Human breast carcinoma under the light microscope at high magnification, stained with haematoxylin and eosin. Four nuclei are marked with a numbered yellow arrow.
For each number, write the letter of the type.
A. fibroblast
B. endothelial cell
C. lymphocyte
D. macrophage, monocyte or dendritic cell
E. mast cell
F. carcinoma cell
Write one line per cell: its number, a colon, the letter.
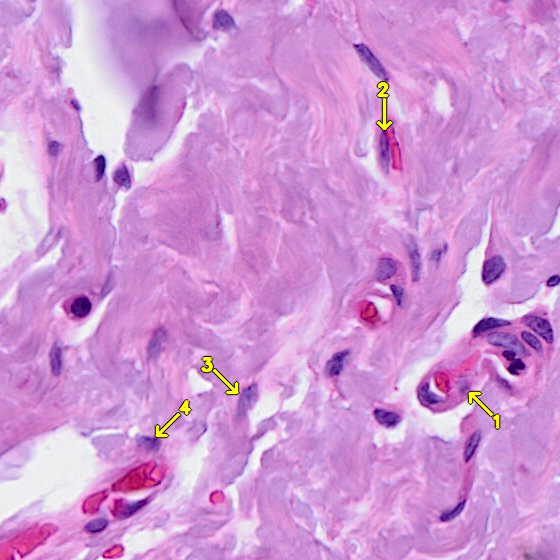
1: B
2: B
3: A
4: A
